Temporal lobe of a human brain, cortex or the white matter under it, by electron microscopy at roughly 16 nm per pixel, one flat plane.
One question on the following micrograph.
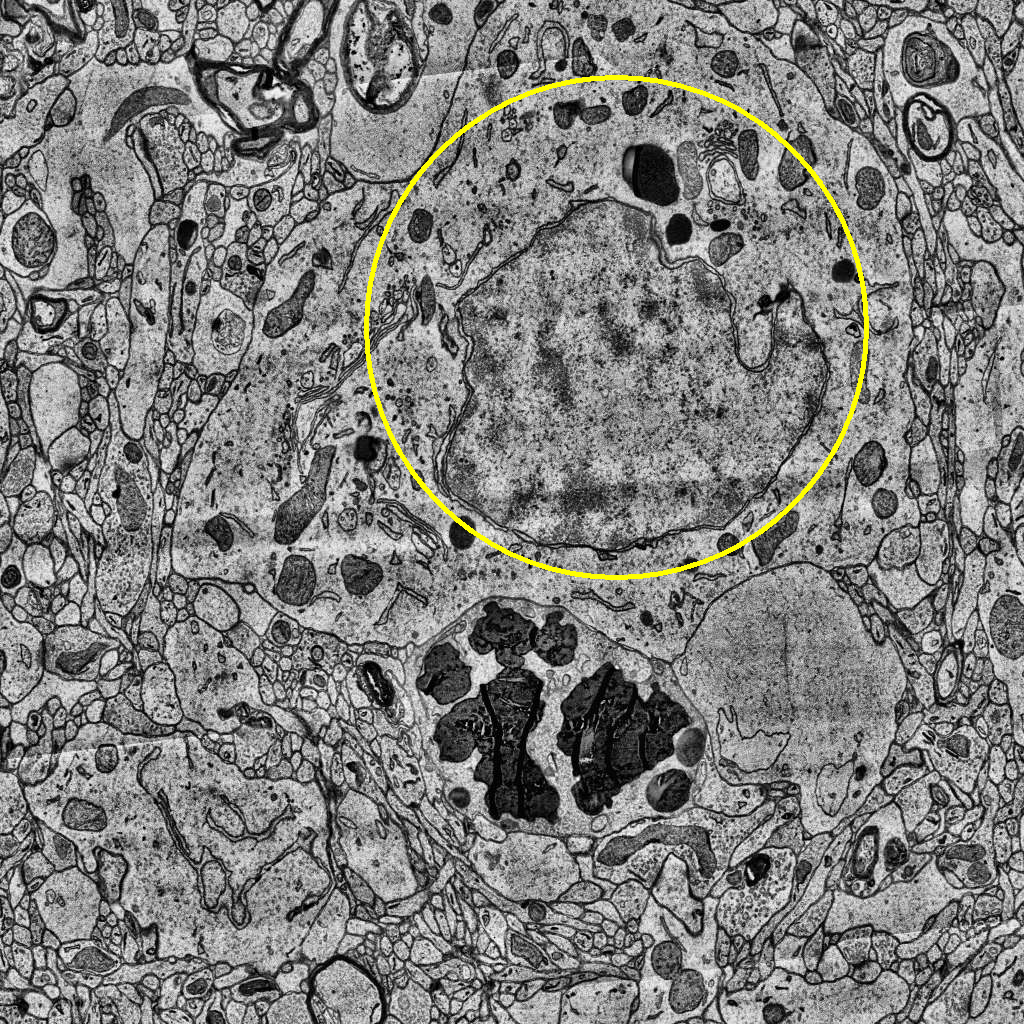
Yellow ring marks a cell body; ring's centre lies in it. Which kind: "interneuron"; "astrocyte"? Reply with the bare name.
interneuron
